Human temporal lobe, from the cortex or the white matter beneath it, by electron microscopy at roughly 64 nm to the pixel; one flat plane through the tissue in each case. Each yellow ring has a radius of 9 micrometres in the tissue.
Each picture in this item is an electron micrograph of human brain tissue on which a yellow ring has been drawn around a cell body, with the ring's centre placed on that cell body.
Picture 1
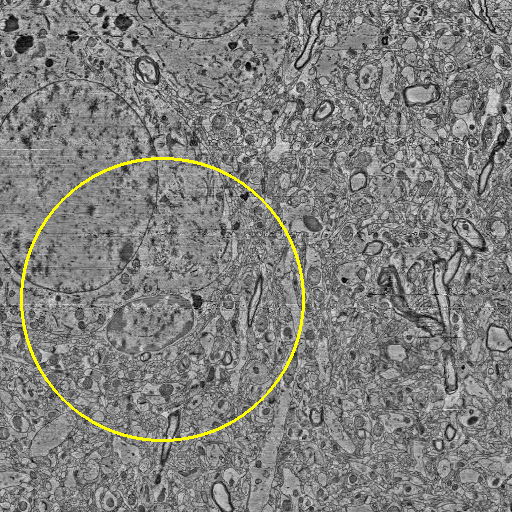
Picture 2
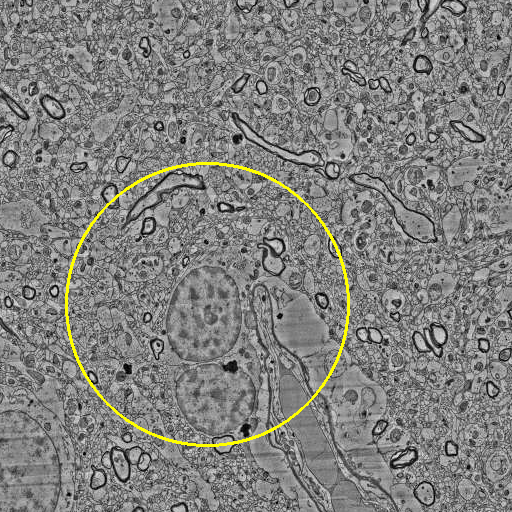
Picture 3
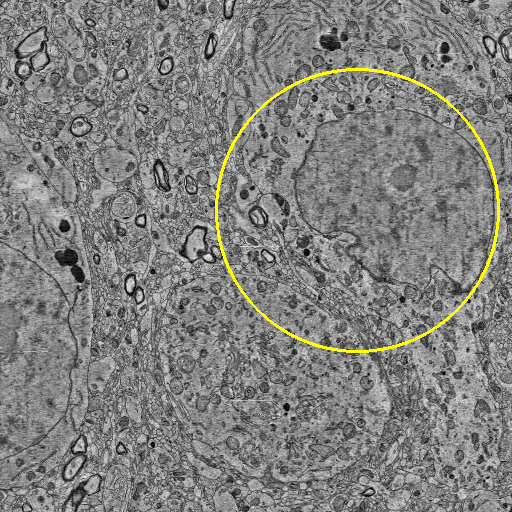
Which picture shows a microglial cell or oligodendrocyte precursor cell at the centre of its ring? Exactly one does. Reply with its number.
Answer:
1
